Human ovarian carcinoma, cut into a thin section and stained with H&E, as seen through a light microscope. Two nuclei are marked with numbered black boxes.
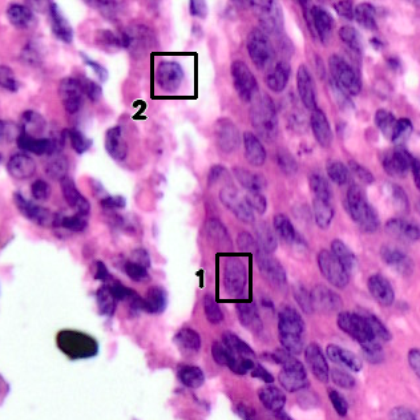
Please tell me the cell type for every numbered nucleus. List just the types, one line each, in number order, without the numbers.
carcinoma cell
macrophage or monocyte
